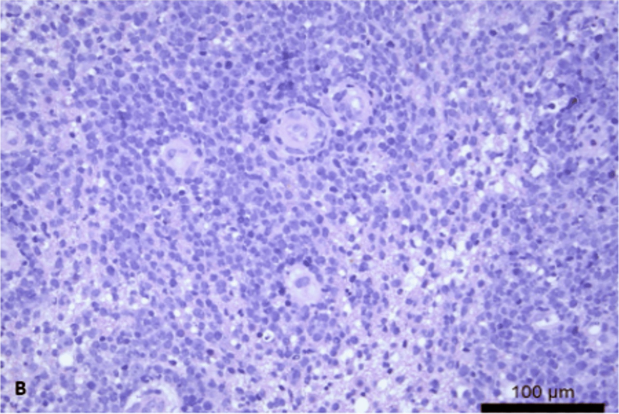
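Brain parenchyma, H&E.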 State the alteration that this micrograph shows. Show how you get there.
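Sheets of discohesive round cells with dark nuclei and scant cytoplasm. The cells crowd around small vessels with pink walls. On this evidence: lymphoid neoplasm.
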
